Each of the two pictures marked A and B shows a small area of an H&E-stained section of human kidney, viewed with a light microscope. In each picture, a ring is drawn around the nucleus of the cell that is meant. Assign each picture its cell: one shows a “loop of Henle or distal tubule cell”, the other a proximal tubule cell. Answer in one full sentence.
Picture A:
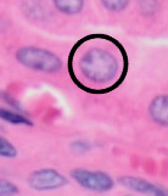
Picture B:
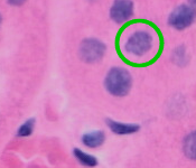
Picture A shows a proximal tubule cell and picture B shows a “loop of Henle or distal tubule cell”.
